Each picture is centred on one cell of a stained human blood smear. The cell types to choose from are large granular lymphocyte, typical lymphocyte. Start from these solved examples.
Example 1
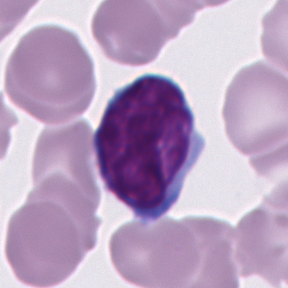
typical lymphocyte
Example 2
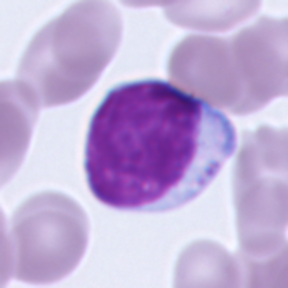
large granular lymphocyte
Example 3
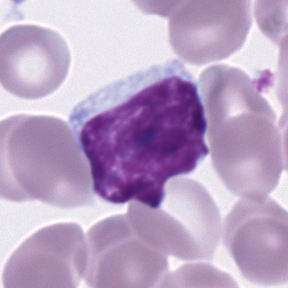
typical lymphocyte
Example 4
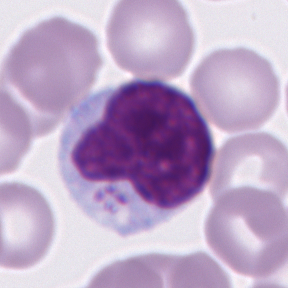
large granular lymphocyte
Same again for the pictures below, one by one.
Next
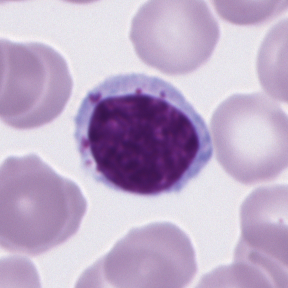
large granular lymphocyte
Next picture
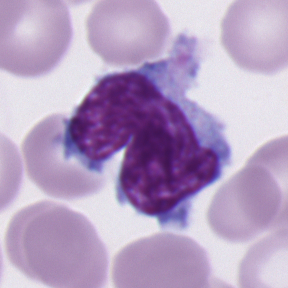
typical lymphocyte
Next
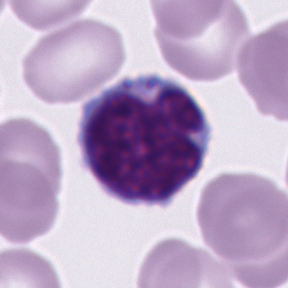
typical lymphocyte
